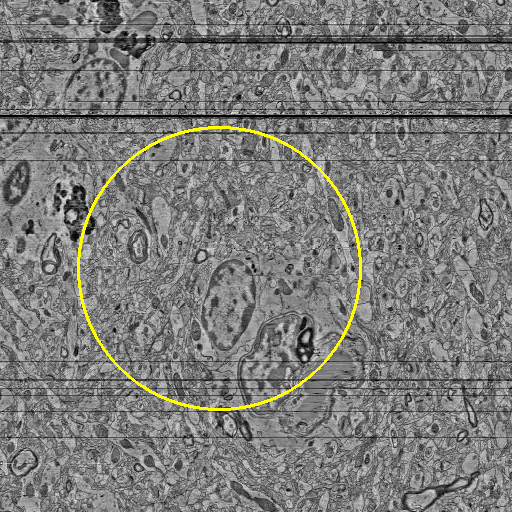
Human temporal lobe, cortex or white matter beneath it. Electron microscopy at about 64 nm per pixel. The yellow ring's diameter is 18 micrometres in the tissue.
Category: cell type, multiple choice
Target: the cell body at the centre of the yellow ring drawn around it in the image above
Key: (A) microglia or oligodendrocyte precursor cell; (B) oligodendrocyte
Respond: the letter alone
A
